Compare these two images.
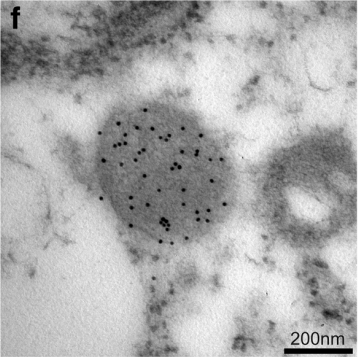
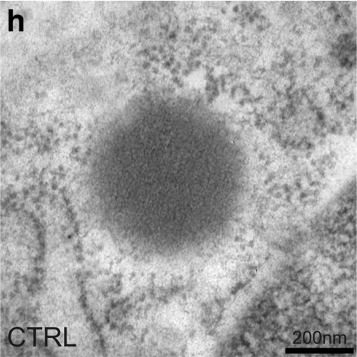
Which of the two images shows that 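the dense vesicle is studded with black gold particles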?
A: The first image.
